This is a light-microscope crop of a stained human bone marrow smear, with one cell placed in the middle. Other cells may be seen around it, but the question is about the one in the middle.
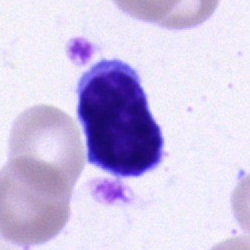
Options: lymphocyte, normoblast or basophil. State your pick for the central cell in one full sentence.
The cell the crop is centered on is a lymphocyte.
